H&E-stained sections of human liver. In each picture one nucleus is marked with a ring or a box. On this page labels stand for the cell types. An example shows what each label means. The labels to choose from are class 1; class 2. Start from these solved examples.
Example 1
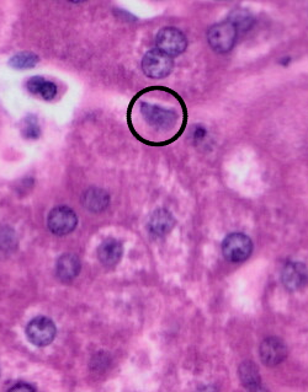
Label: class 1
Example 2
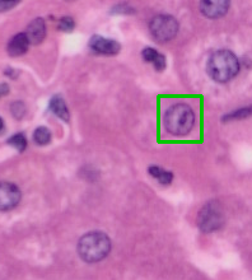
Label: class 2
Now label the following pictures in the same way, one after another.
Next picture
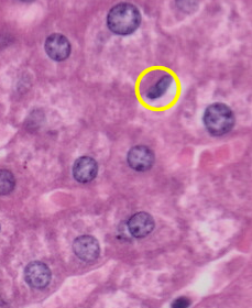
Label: class 1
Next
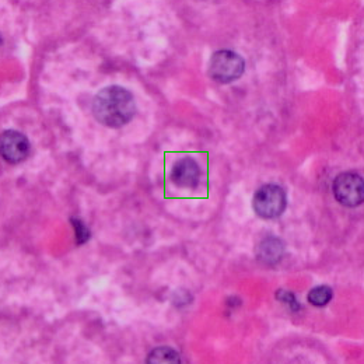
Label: class 2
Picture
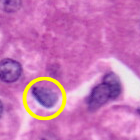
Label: class 1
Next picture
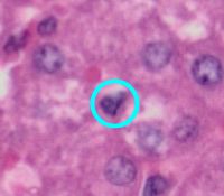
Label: class 1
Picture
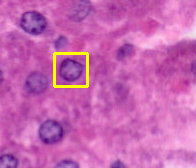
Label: class 2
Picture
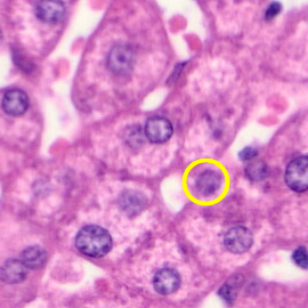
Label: class 2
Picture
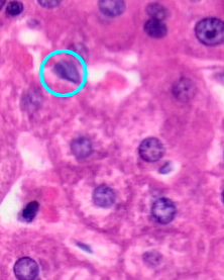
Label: class 1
